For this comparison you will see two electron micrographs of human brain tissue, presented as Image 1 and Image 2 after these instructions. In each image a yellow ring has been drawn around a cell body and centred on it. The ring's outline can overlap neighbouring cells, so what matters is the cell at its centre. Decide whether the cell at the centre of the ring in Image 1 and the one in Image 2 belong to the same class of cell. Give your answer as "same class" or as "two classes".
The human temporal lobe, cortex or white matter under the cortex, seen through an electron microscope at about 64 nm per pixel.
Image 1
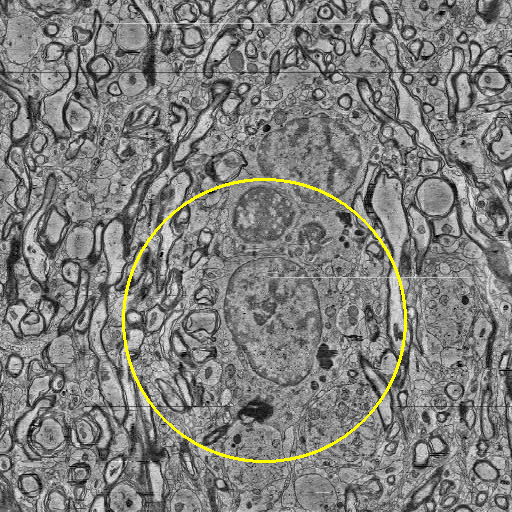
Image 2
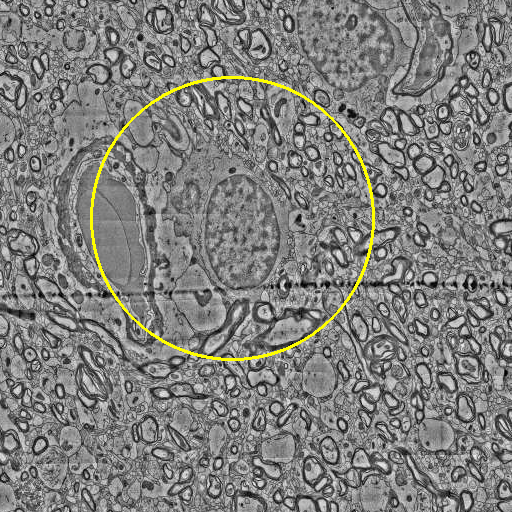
same class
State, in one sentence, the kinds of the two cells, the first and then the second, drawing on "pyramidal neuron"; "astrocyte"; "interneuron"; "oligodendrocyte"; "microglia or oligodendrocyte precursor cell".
Each of the two cells is an oligodendrocyte.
